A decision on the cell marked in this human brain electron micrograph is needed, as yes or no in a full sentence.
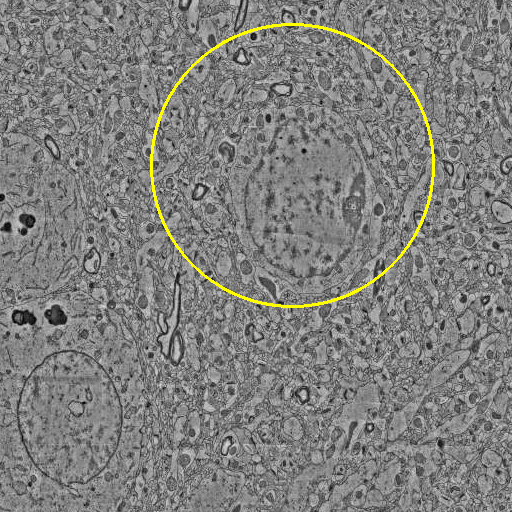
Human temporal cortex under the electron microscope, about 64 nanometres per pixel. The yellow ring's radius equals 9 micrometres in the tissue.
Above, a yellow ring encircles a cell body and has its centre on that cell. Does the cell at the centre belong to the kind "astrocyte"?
No, a different kind fits the cell at the centre of the ring in the picture.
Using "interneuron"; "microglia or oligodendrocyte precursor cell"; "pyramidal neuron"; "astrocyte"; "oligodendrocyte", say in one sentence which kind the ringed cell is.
At the centre of the ring sits an interneuron.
